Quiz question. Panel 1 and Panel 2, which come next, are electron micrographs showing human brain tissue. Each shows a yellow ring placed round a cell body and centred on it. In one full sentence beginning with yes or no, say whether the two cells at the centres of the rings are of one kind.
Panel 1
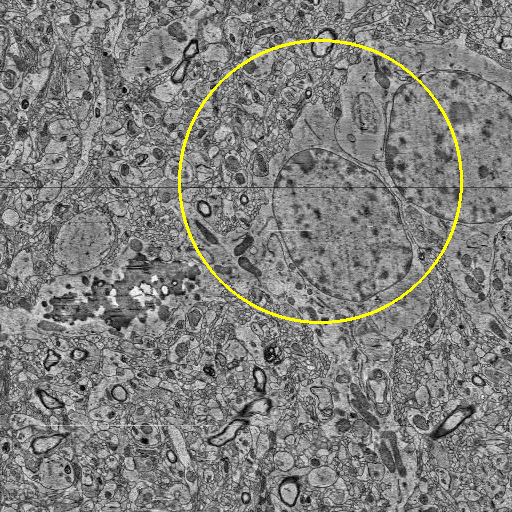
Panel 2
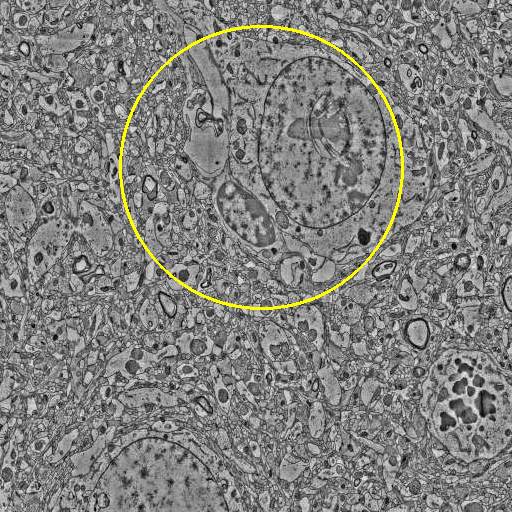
No, Panel 1 and Panel 2 show two kinds of cell at the centre of the ring.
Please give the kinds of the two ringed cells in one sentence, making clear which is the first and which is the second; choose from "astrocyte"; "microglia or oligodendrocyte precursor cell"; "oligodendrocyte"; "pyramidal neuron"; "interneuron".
In the second picture the ringed cell is a microglial cell or oligodendrocyte precursor cell; in the first it is an astrocyte.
